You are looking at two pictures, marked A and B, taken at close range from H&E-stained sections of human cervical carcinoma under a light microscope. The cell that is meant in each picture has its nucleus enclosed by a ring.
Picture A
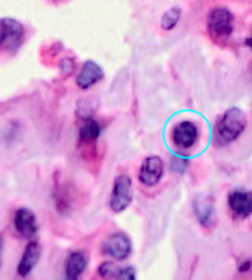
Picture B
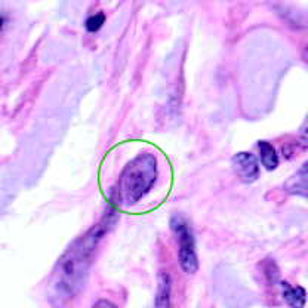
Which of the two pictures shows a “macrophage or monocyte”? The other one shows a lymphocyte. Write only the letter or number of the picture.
B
